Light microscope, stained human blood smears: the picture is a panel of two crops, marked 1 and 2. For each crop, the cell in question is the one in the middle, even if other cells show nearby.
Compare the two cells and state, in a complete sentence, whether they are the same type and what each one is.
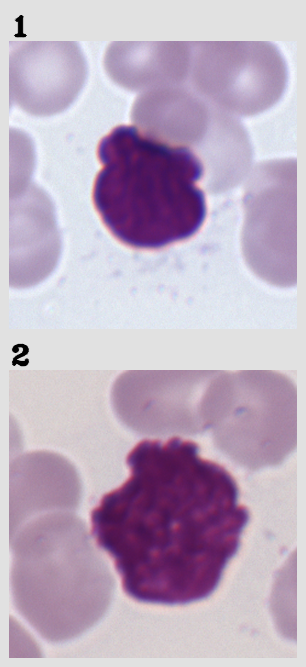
Yes, both crops show smudge cells, one in each.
